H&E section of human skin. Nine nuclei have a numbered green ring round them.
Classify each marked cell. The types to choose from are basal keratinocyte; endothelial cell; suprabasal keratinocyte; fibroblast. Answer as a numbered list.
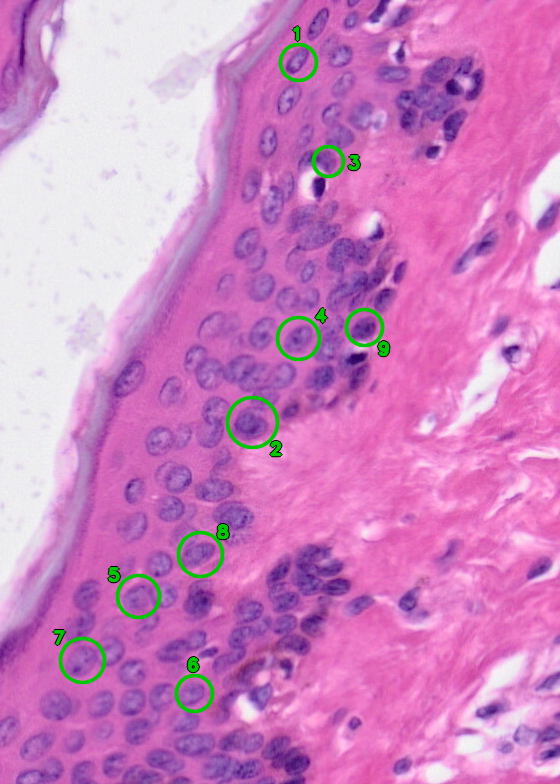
1. suprabasal keratinocyte
2. basal keratinocyte
3. basal keratinocyte
4. suprabasal keratinocyte
5. suprabasal keratinocyte
6. suprabasal keratinocyte
7. suprabasal keratinocyte
8. basal keratinocyte
9. basal keratinocyte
